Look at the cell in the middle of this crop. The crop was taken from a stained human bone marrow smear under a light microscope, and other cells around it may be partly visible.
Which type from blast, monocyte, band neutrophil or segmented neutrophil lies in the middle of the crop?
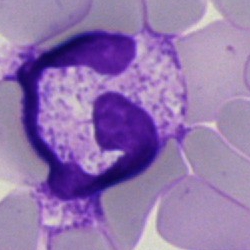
segmented neutrophil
